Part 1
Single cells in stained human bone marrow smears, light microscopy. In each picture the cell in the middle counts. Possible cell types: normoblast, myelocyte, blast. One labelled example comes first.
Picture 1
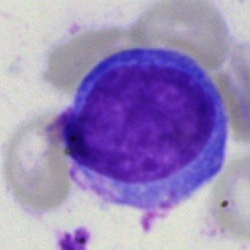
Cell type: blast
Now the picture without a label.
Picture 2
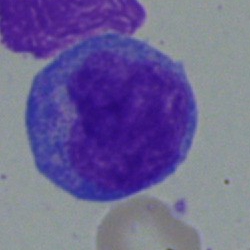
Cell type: blast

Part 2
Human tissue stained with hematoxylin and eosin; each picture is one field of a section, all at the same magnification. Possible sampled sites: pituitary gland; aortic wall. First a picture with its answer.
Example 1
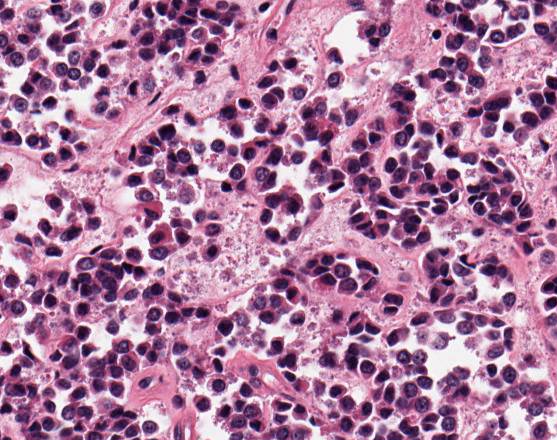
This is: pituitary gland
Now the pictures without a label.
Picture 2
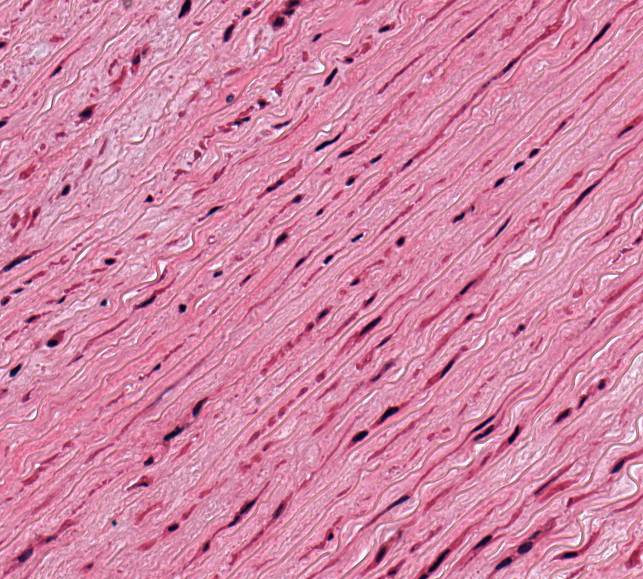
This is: aortic wall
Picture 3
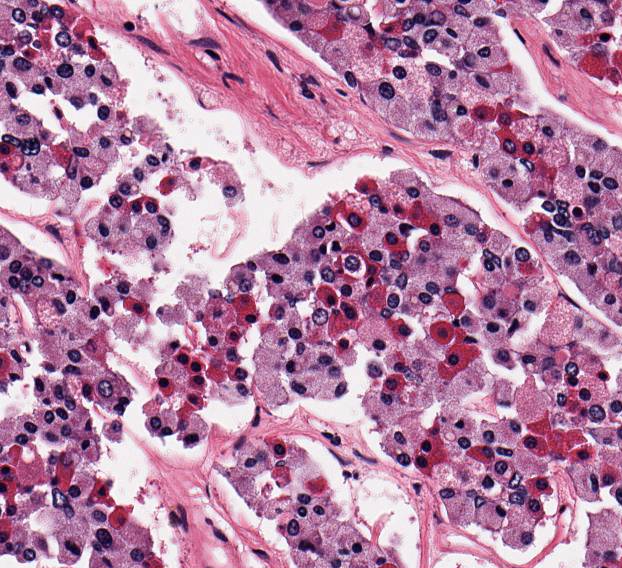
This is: pituitary gland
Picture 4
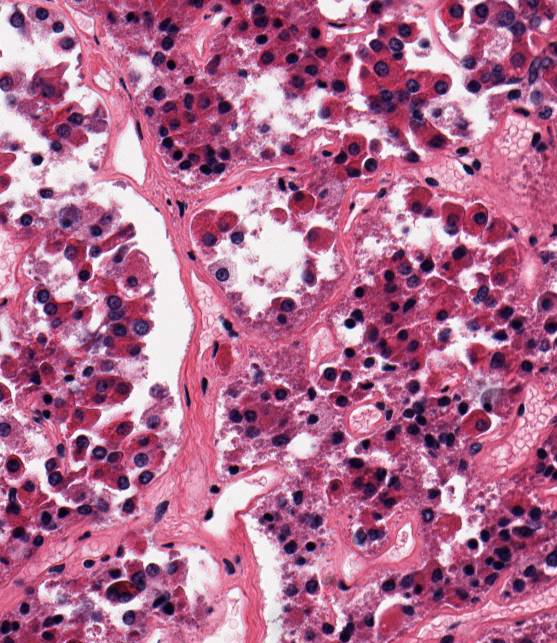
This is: pituitary gland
